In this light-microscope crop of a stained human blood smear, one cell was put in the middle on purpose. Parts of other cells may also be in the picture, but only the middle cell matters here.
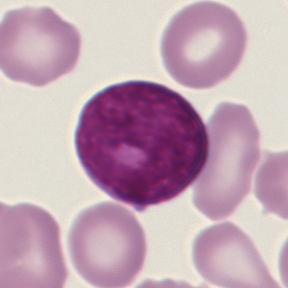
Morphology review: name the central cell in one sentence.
What the crop centres on is a myeloblast.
